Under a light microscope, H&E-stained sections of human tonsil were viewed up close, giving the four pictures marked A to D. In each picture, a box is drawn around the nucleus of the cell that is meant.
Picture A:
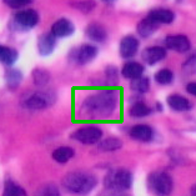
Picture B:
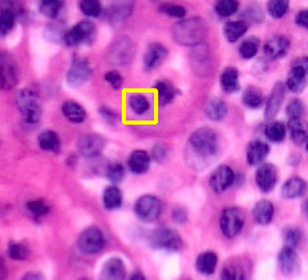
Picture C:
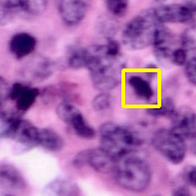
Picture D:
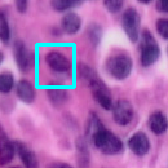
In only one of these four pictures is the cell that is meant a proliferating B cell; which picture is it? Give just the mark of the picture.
C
